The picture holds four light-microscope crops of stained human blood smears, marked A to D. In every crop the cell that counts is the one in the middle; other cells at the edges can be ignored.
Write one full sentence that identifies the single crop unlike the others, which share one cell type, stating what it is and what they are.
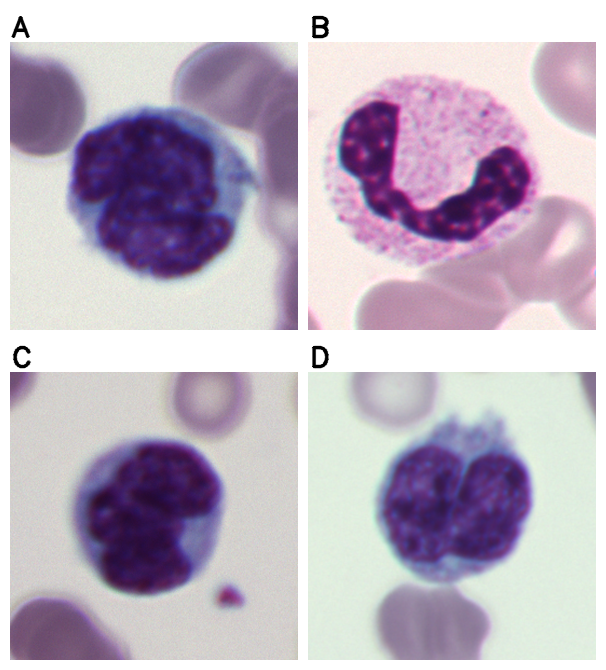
Crop B, showing a segmented neutrophil, is the exception; the others all show monocytes.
